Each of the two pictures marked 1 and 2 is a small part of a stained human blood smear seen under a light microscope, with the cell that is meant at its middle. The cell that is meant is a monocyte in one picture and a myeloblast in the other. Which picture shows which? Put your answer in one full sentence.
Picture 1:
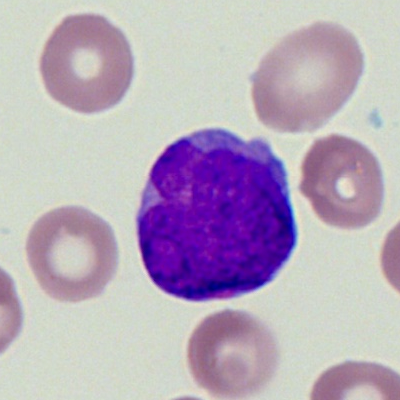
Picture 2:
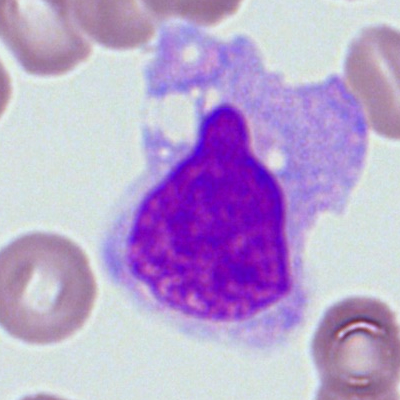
Picture 1 shows a myeloblast and picture 2 shows a monocyte.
